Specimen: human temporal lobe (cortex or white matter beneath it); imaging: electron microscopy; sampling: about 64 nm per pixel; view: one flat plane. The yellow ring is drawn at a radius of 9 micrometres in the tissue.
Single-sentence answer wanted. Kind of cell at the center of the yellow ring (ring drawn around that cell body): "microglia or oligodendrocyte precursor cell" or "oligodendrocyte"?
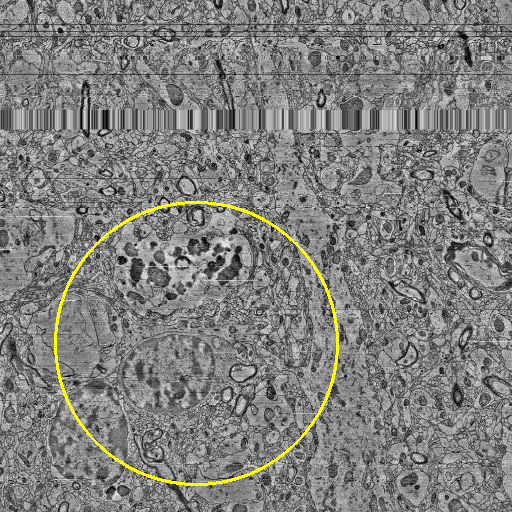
The cell centered in the ring is an oligodendrocyte.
